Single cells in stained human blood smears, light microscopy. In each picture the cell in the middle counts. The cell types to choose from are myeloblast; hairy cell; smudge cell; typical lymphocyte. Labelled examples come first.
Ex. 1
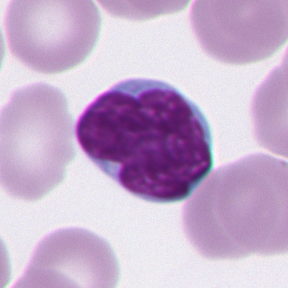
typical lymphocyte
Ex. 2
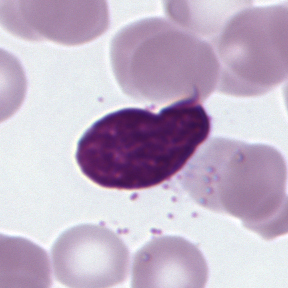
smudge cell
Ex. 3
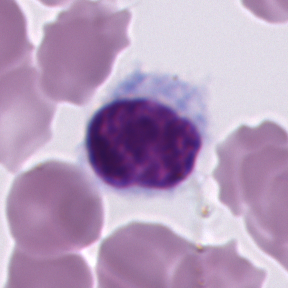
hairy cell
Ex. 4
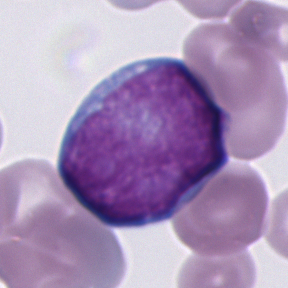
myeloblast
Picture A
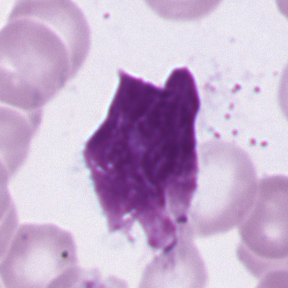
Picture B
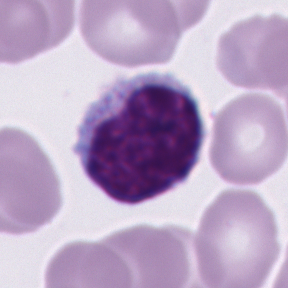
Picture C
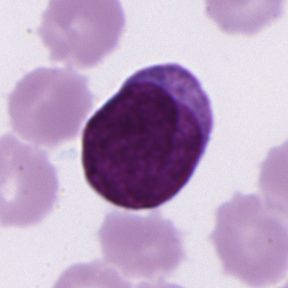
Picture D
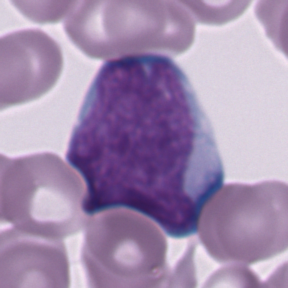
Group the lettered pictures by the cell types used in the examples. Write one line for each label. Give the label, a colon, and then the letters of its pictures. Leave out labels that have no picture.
myeloblast: C, D
smudge cell: A
typical lymphocyte: B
